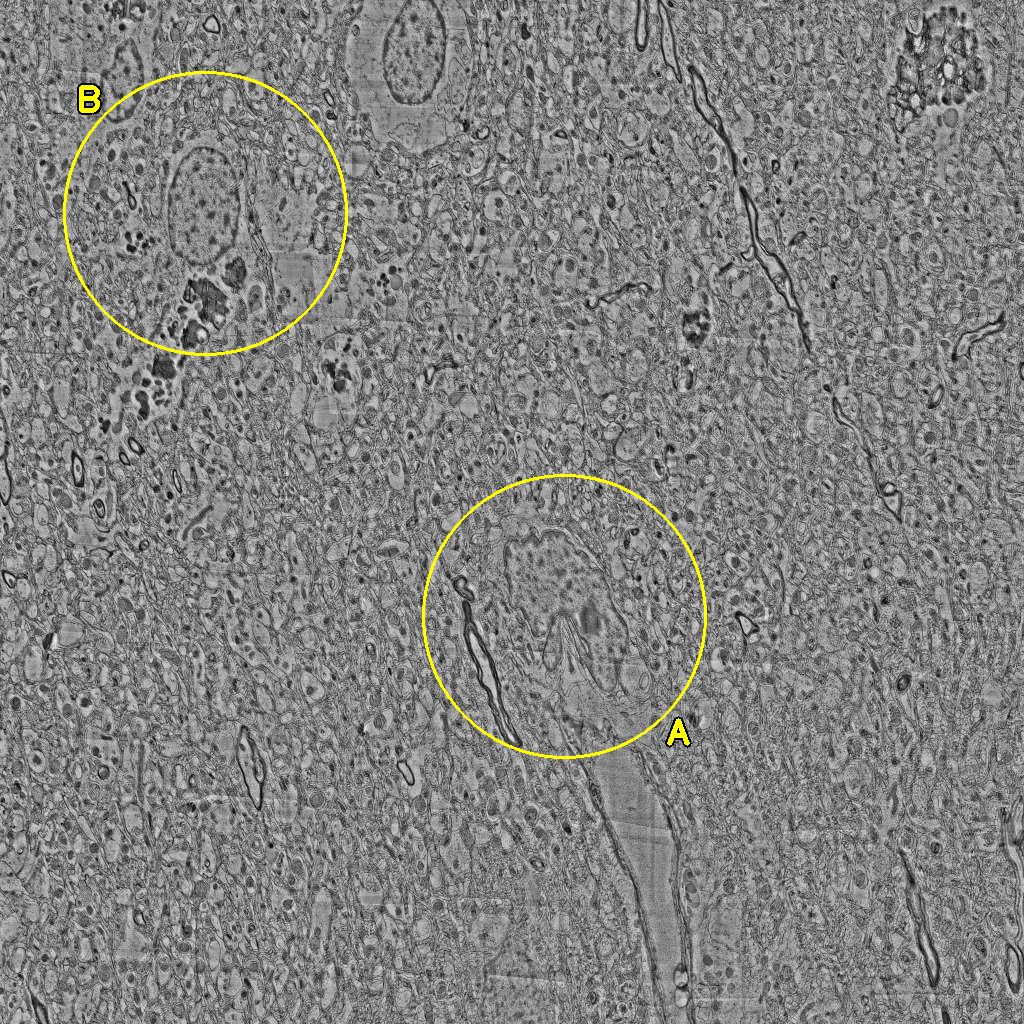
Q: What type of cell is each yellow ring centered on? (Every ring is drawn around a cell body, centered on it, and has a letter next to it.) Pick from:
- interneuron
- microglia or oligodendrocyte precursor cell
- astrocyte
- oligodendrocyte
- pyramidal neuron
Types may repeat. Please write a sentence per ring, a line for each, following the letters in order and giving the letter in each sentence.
The cell body centered in ring A belongs to a microglial cell or oligodendrocyte precursor cell.
The cell body centered in ring B belongs to an astrocyte.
